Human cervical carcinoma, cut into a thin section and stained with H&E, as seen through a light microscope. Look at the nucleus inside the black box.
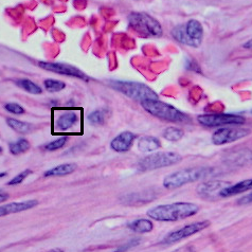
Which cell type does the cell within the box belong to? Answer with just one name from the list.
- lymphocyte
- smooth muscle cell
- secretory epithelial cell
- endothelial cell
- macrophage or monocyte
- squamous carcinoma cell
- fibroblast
smooth muscle cell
